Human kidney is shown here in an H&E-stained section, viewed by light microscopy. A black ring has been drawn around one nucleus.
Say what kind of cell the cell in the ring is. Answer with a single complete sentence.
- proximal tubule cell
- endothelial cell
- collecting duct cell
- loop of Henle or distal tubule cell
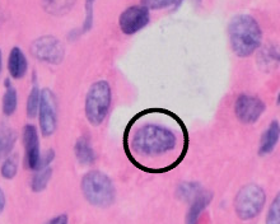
In this tissue section, the cell in the ring is to be classed as a loop of Henle or distal tubule cell.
